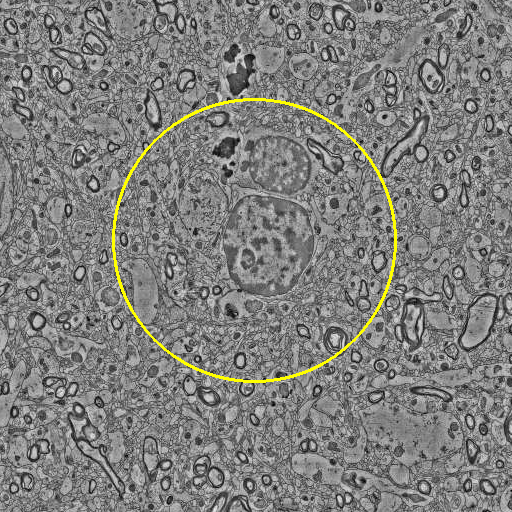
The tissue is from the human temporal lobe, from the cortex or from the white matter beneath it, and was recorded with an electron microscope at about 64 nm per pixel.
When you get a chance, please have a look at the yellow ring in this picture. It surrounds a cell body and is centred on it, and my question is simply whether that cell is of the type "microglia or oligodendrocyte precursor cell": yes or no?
Yes, the cell is of that type.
